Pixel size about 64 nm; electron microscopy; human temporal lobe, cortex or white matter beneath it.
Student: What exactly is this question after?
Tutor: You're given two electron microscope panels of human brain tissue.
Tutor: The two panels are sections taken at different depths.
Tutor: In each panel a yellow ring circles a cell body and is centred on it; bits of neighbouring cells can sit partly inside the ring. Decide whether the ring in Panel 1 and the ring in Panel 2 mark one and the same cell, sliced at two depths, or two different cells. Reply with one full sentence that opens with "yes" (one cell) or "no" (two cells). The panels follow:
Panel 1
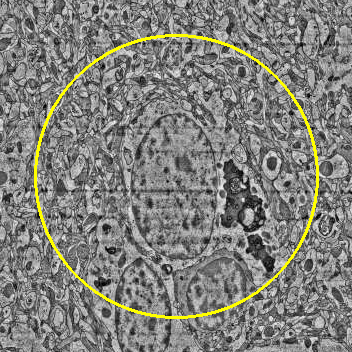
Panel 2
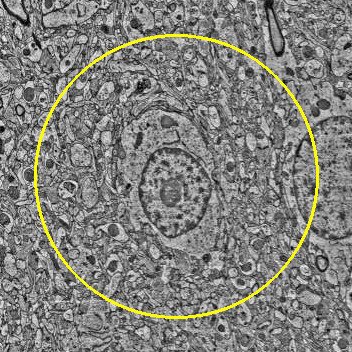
No, the rings single out two cells that are separate from each other.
